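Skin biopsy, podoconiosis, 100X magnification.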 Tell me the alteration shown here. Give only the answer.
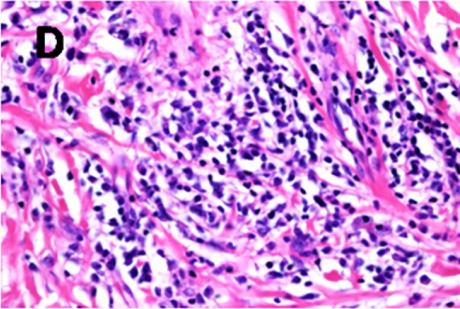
Dense dermal infiltrate.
